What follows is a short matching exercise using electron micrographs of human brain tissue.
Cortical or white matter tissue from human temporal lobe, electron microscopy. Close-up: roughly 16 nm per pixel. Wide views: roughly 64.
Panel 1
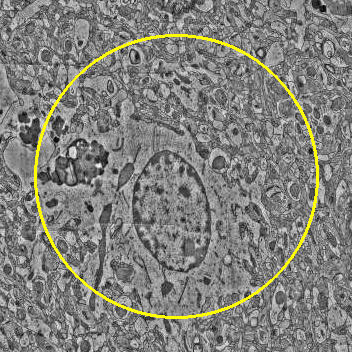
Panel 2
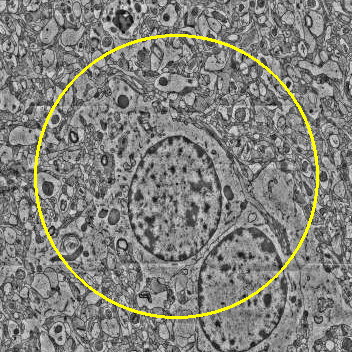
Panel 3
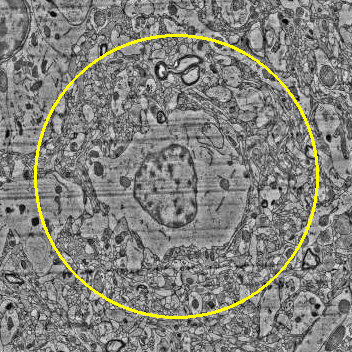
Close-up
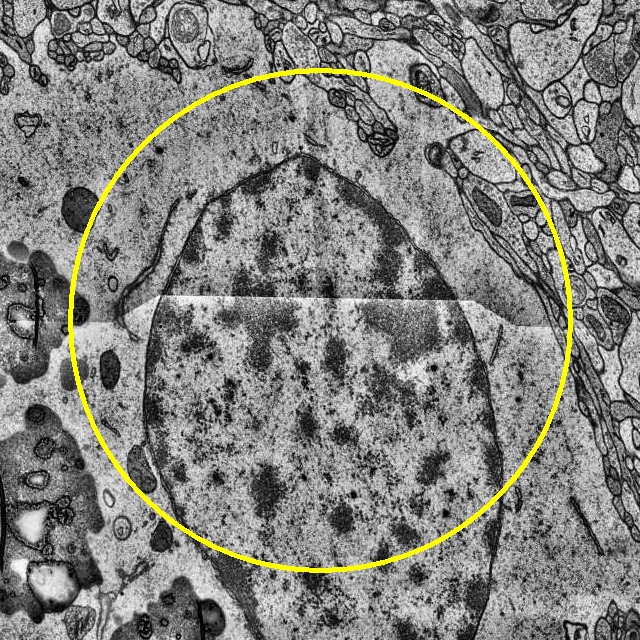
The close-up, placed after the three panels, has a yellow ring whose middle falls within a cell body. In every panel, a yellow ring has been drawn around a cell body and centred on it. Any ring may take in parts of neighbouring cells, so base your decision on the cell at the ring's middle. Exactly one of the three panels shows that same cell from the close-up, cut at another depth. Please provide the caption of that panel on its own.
Panel 1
